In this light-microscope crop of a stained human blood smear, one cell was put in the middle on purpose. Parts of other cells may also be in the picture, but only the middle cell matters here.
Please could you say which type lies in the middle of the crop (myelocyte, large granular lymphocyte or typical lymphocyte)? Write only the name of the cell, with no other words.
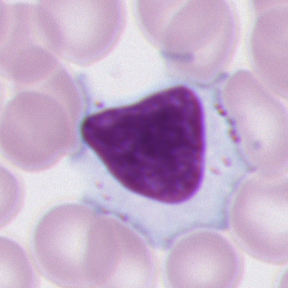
large granular lymphocyte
